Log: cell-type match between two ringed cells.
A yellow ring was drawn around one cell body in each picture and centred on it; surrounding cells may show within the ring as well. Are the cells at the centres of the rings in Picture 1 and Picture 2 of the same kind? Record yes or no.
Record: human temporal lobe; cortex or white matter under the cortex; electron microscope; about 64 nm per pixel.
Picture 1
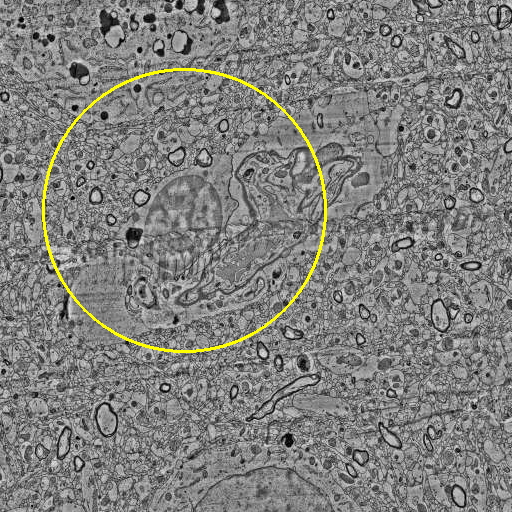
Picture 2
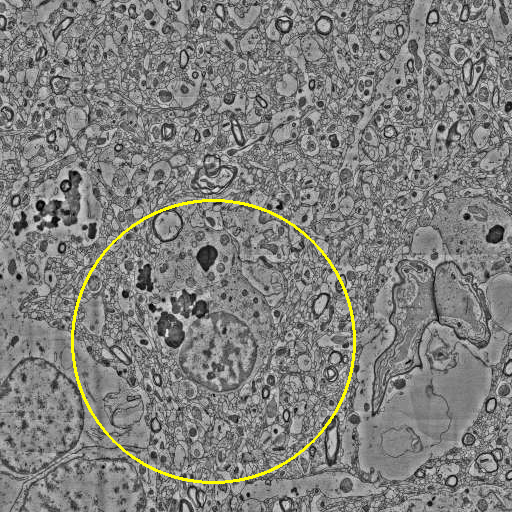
yes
